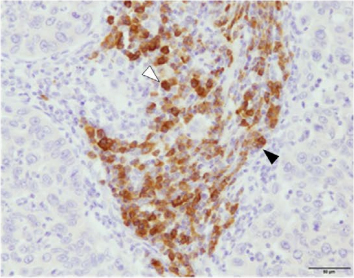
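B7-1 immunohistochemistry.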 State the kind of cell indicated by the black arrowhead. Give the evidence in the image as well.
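It lies among many brown-stained cells in the stroma between large unstained tumour cells.
Conclusion: lymphocytes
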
